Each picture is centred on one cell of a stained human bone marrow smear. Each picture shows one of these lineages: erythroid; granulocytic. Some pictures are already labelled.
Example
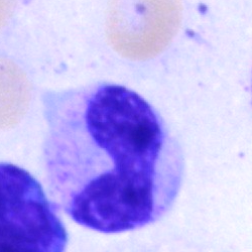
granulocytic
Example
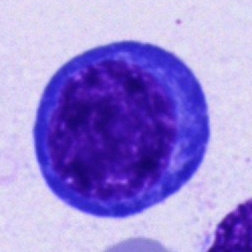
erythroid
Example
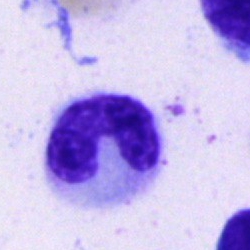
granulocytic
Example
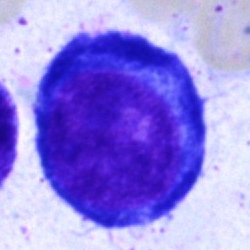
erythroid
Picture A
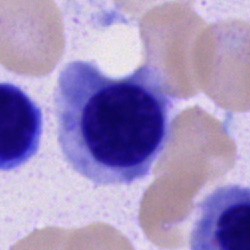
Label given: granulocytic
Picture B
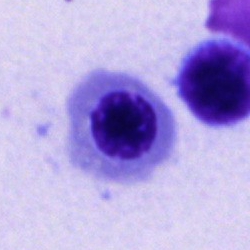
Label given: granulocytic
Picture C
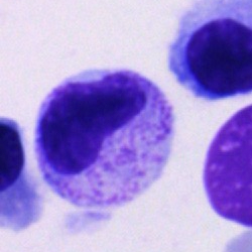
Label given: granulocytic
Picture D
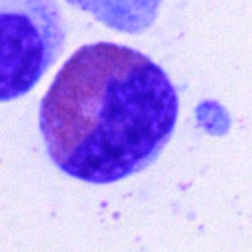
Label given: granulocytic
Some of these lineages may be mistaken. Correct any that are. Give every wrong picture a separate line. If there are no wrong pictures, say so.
A: change granulocytic to erythroid
B: change granulocytic to erythroid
